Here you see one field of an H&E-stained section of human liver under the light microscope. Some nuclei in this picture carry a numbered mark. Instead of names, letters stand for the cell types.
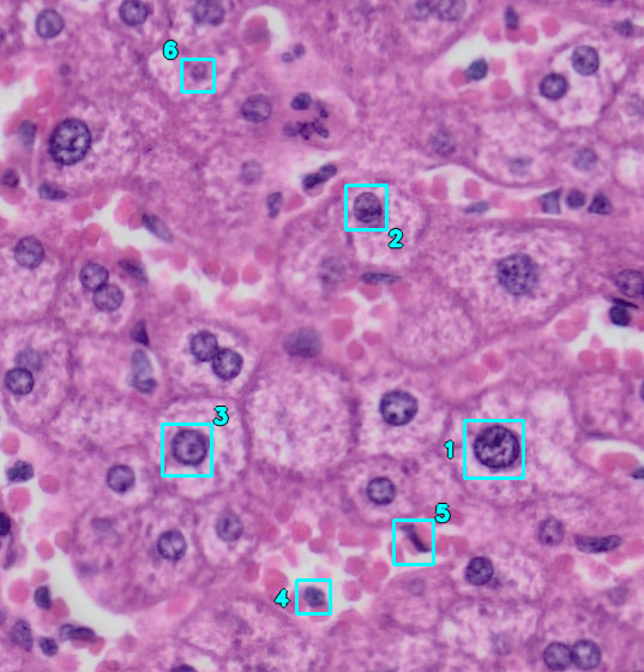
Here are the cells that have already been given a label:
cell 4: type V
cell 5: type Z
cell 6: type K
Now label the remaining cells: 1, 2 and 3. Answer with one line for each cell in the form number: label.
1: type K
2: type K
3: type K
